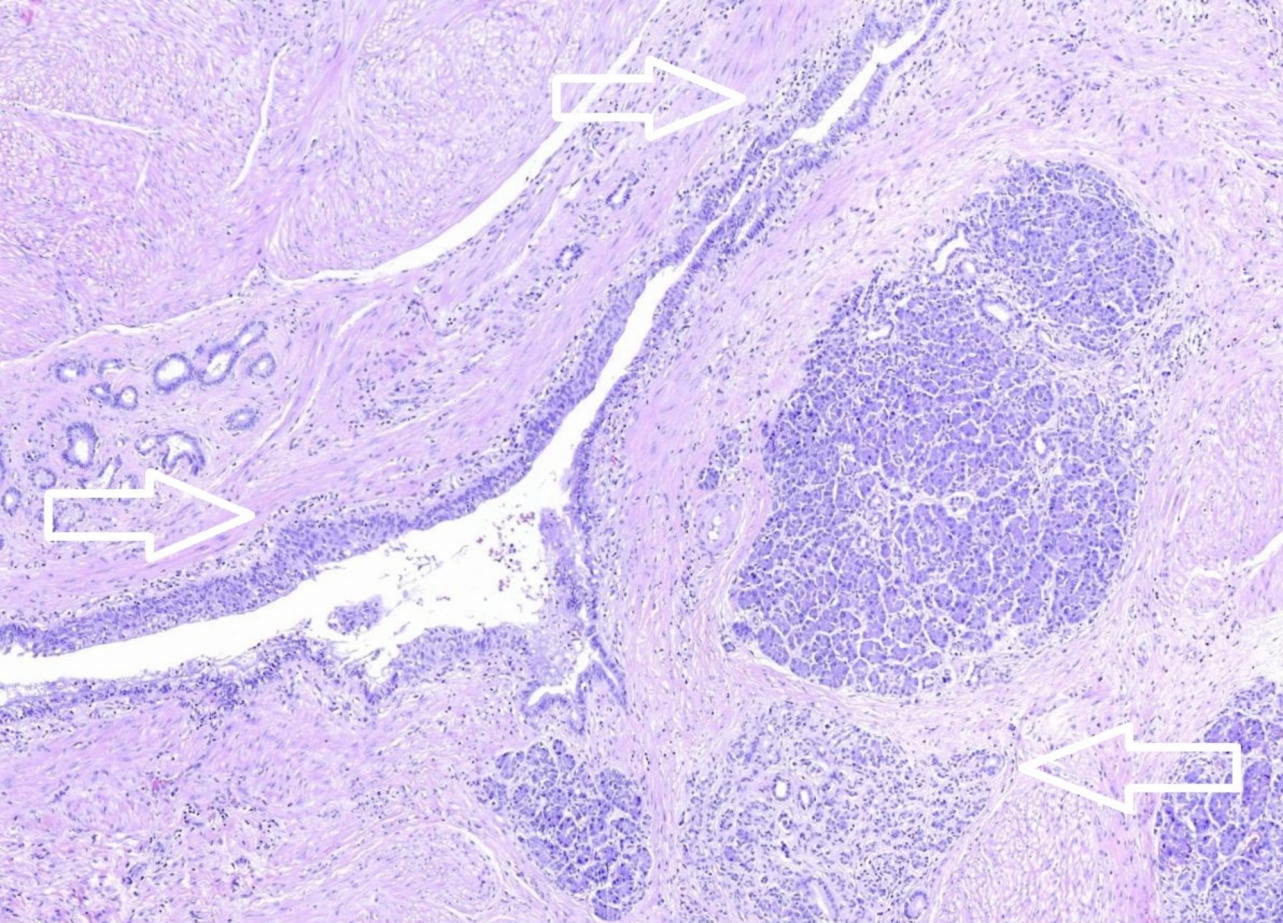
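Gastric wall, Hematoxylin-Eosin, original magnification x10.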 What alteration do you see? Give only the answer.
ectatic ducts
